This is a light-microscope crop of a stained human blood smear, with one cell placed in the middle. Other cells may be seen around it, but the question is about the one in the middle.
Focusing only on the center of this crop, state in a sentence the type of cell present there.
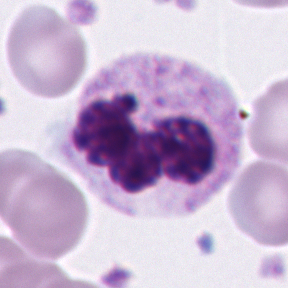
Classification of the middle cell gives a neutrophil.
